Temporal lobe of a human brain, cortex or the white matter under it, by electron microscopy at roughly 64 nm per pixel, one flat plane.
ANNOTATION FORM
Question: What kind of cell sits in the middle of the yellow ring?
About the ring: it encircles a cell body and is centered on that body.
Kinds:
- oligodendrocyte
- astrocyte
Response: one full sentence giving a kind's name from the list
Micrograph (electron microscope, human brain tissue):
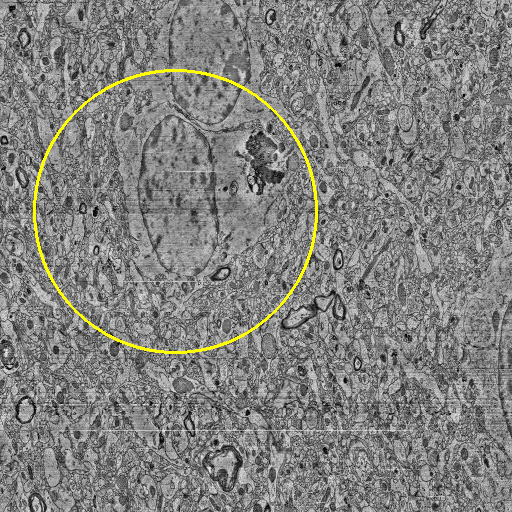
The kind of cell found at the center of the yellow ring in the micrograph is an astrocyte.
